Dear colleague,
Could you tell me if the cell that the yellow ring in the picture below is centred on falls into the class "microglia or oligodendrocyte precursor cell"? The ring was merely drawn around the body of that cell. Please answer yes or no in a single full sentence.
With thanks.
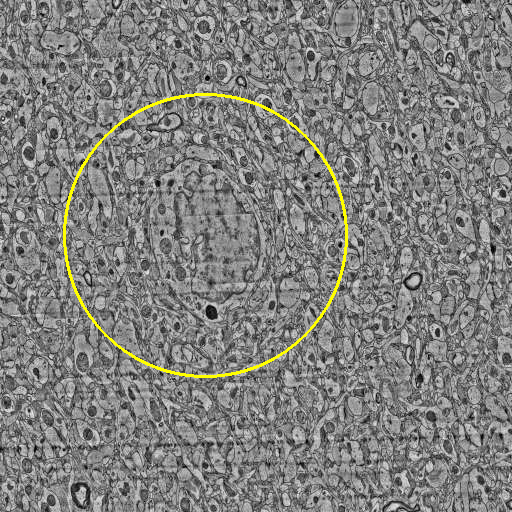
No, the cell on which the ring in your picture is centred falls into a different class.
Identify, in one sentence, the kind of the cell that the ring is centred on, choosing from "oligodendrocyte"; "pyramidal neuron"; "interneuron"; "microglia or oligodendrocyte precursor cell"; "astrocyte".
Instead, the ring surrounds an interneuron in this picture.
